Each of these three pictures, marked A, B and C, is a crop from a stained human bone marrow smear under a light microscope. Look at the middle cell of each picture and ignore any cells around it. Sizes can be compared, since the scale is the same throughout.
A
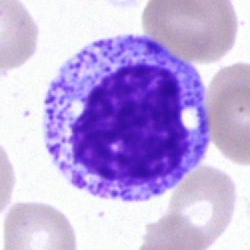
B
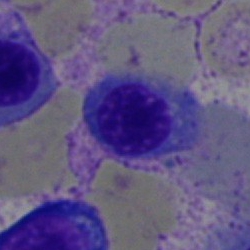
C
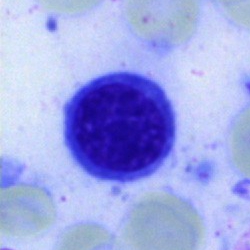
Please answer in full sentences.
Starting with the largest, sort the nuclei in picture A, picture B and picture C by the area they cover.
Largest first: A, C, B.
